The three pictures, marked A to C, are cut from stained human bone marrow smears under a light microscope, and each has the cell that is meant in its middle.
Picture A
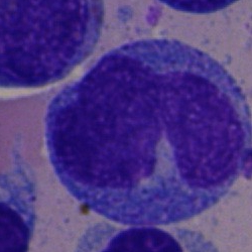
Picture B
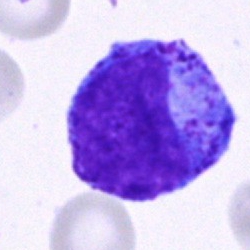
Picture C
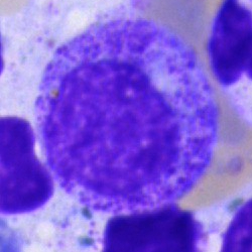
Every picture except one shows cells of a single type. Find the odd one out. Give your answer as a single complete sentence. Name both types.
The others show promyelocytes, but picture A shows a monocyte.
